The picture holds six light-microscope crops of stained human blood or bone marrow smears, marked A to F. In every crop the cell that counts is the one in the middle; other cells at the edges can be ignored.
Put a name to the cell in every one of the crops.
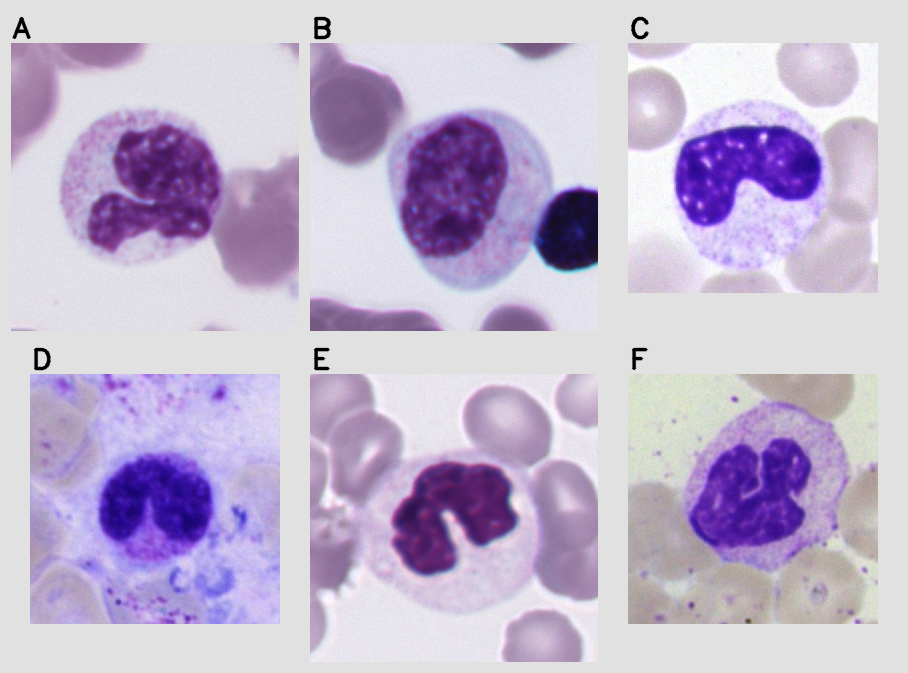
A: segmented neutrophil
B: band neutrophil
C: band neutrophil
D: band neutrophil
E: segmented neutrophil
F: segmented neutrophil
